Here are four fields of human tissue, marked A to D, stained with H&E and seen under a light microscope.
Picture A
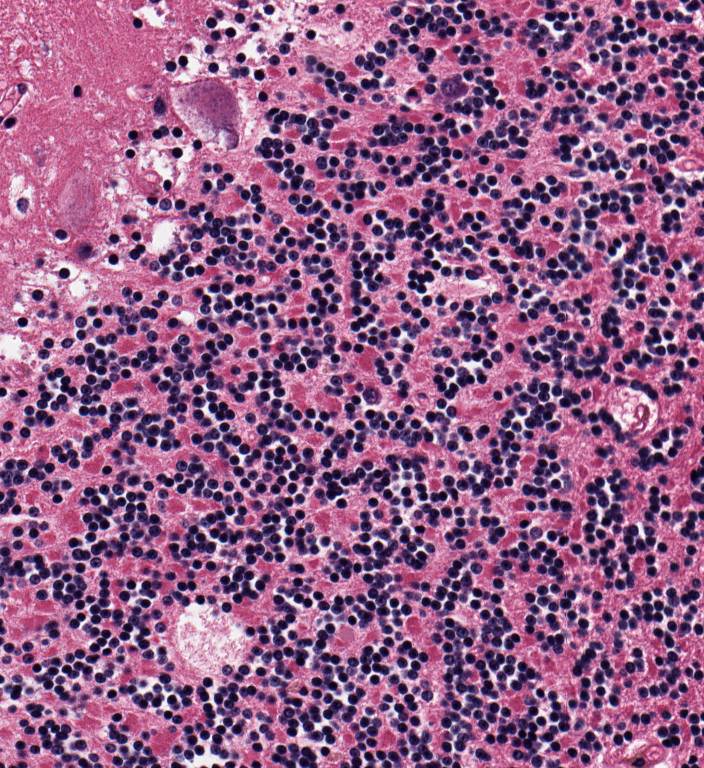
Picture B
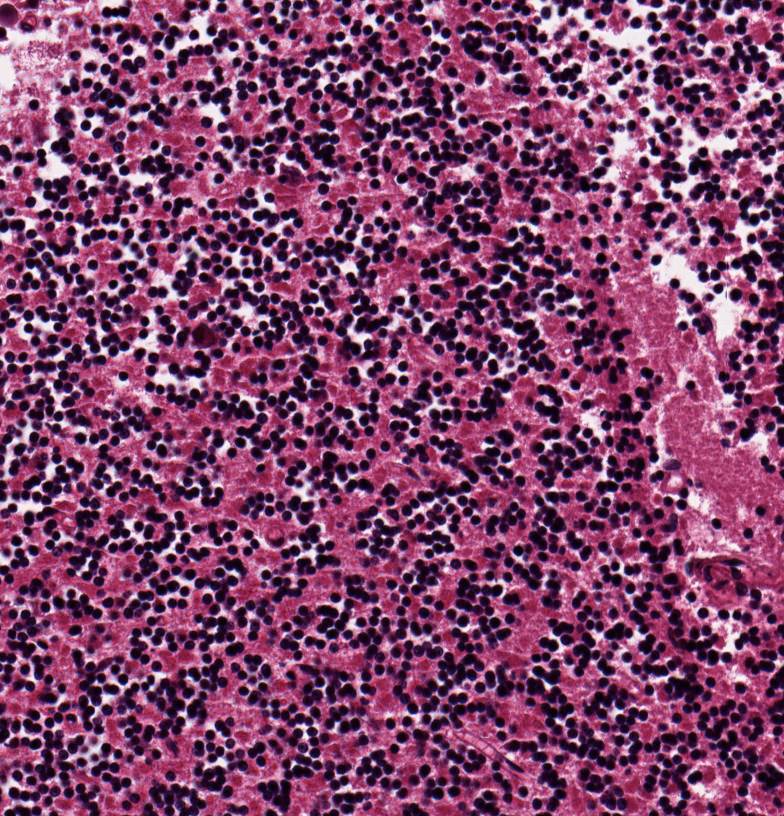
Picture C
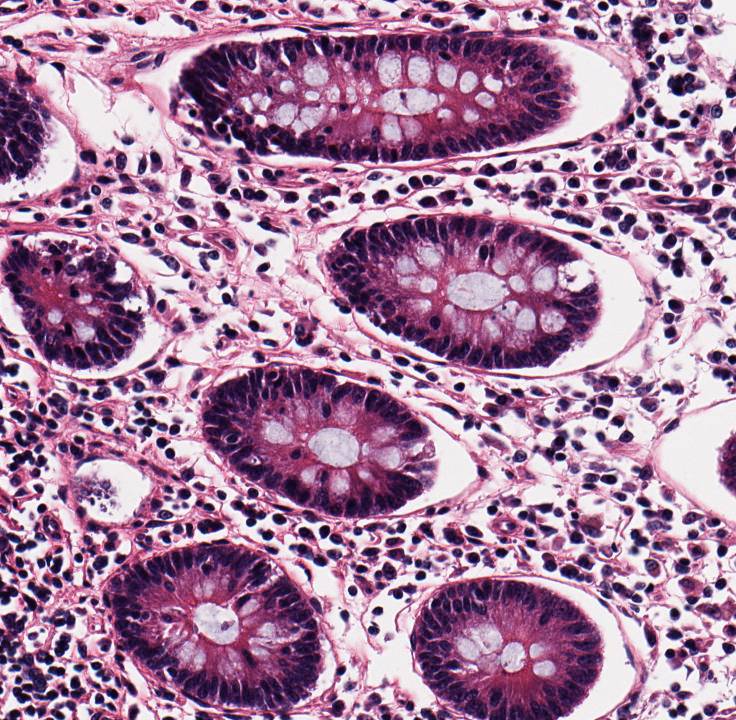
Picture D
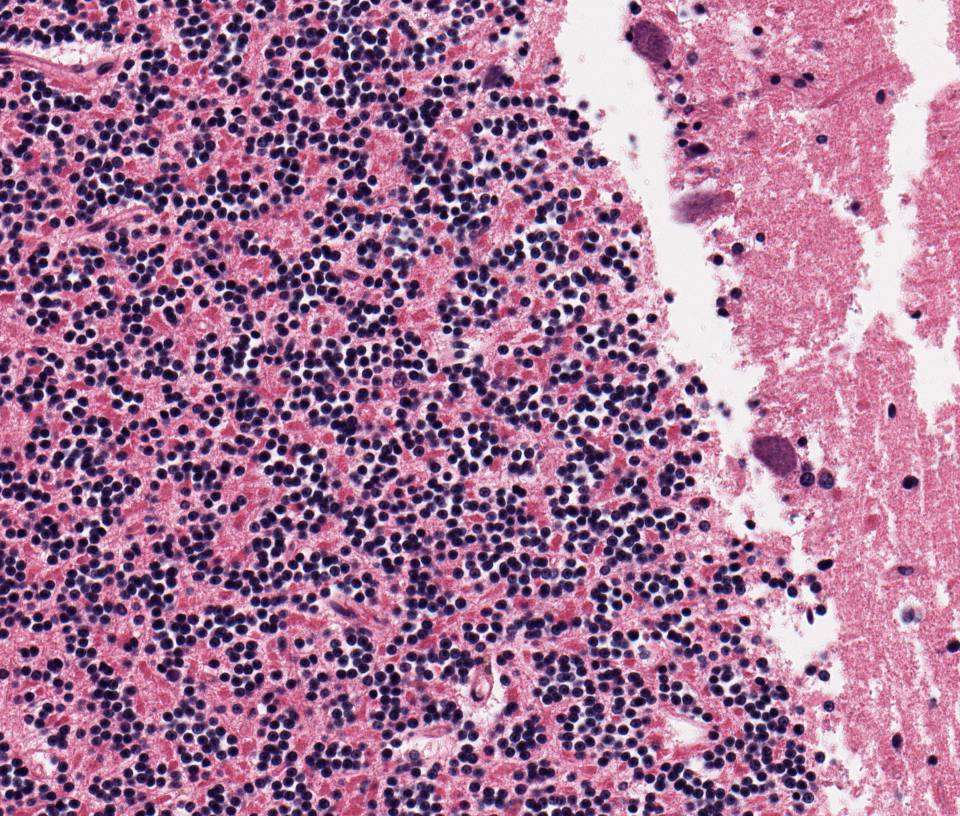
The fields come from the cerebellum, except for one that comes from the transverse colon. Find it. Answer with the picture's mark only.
C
